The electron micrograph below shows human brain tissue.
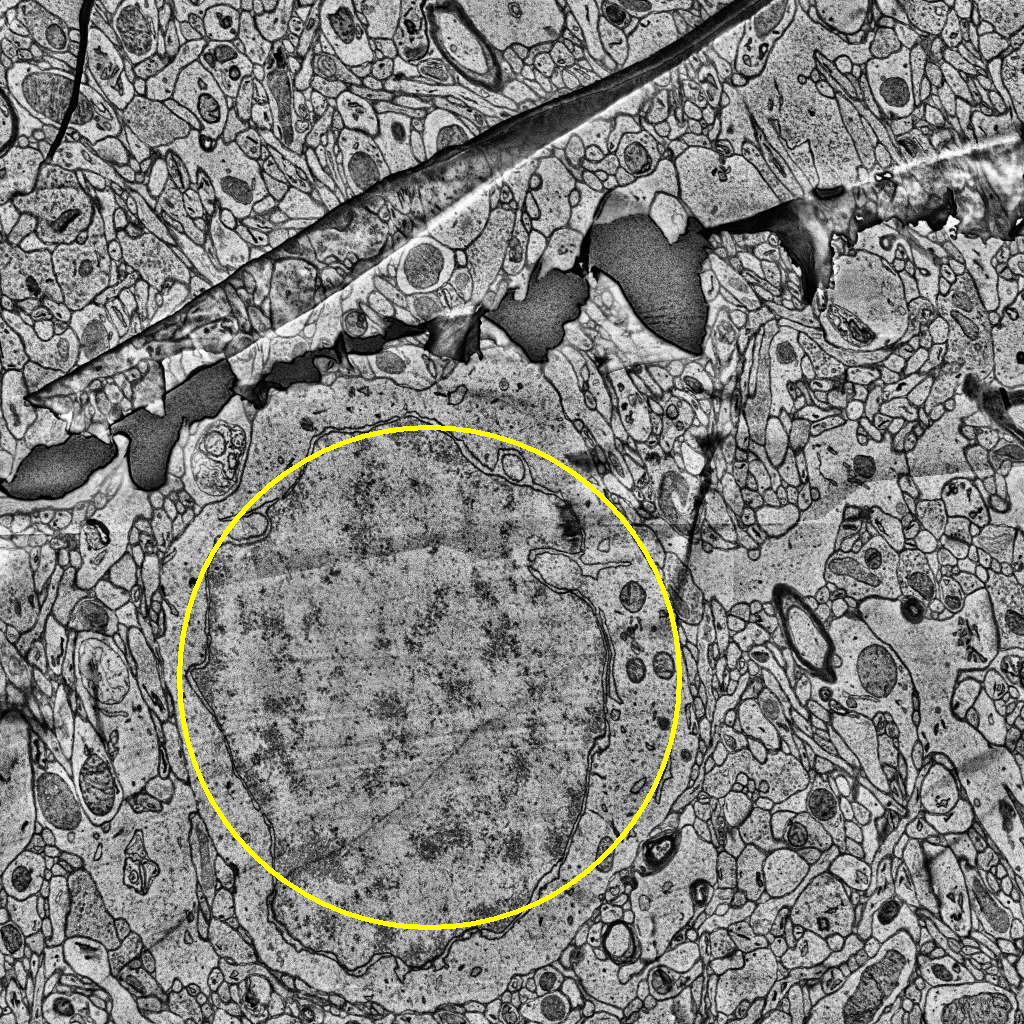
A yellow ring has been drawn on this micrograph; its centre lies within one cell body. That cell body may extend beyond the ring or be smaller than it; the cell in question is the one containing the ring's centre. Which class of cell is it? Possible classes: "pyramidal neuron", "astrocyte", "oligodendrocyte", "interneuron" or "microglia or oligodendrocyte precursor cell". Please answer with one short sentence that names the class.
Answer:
In the centre of the ring sits an interneuron.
